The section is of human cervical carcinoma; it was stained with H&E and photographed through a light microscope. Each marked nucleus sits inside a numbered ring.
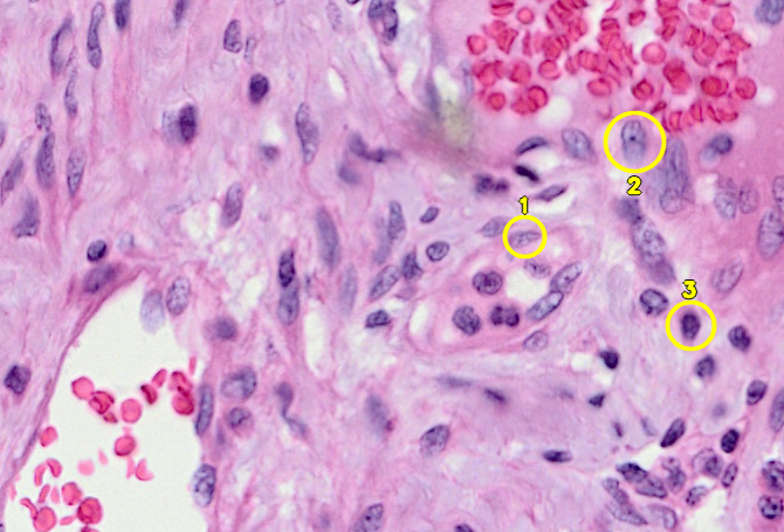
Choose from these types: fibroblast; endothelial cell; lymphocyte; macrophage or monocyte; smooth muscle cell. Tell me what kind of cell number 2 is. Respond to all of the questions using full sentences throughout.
The cell carrying label 2 is identified as an endothelial cell.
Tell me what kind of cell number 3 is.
What the number 3 marks in this field is a lymphocyte.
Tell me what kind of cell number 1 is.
The cell that is numbered 1 is an endothelial cell.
